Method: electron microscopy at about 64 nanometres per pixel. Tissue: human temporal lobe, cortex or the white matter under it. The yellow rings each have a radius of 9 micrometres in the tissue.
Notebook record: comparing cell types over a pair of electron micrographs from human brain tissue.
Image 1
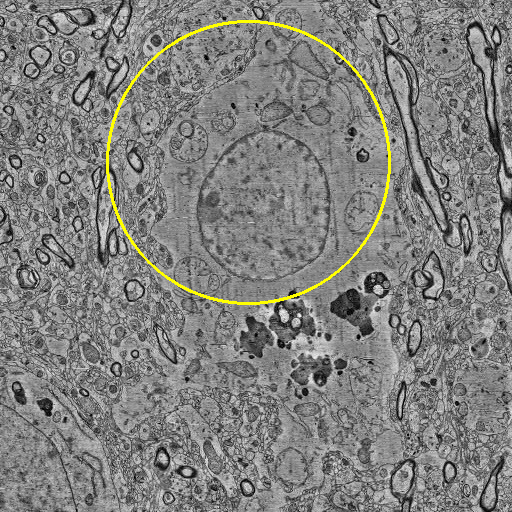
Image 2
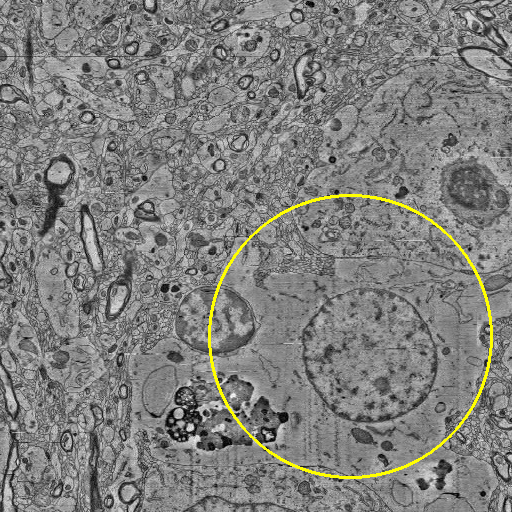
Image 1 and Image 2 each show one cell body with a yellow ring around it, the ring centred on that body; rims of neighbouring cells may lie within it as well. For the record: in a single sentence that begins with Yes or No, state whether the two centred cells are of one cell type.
Yes, one cell type is shared by the centred cells of Image 1 and Image 2.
